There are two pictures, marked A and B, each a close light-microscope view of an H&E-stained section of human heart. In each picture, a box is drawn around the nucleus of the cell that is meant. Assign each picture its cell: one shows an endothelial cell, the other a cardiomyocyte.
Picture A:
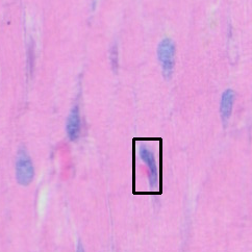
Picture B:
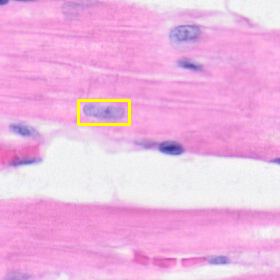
A: endothelial cell
B: cardiomyocyte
